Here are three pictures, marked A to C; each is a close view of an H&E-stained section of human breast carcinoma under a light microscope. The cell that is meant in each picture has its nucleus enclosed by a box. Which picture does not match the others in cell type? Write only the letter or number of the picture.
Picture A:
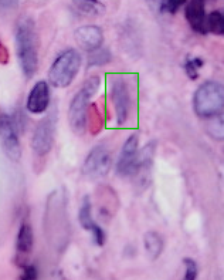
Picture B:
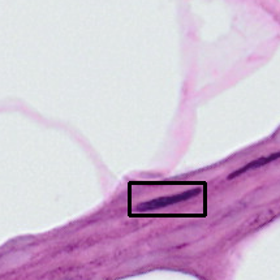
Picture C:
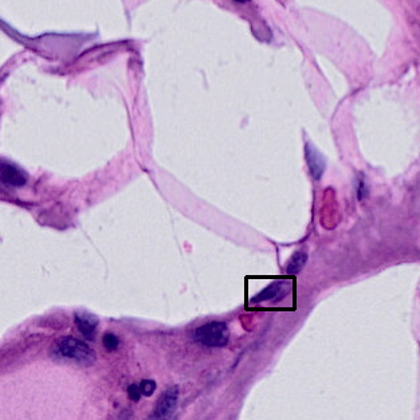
B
